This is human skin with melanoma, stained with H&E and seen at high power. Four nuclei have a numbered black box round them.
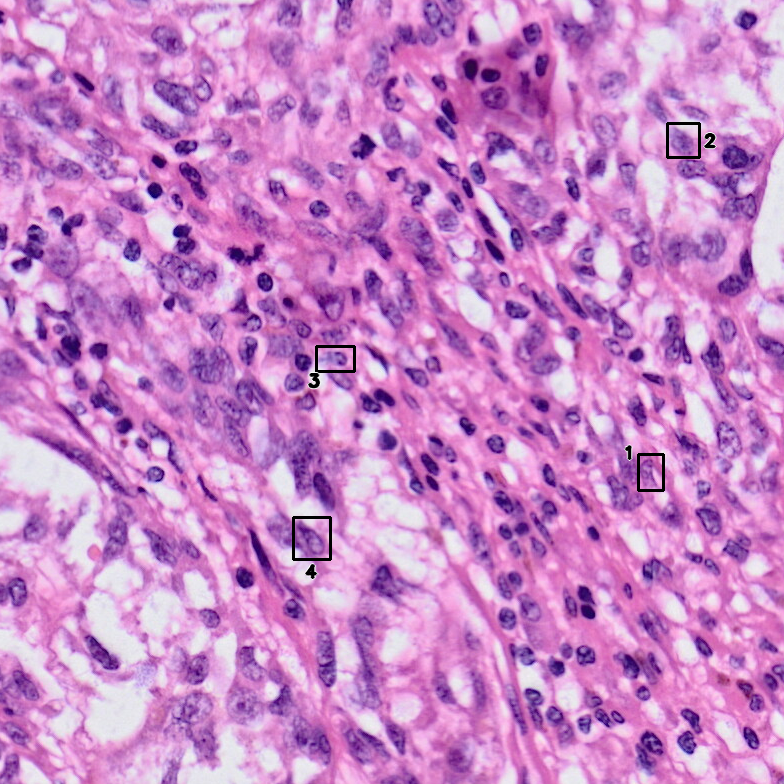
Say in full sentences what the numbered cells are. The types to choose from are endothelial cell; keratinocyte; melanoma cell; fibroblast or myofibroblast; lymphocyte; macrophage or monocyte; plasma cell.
Cells 1, 2 and 4 are melanoma cells. Cell 3 is a lymphocyte.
